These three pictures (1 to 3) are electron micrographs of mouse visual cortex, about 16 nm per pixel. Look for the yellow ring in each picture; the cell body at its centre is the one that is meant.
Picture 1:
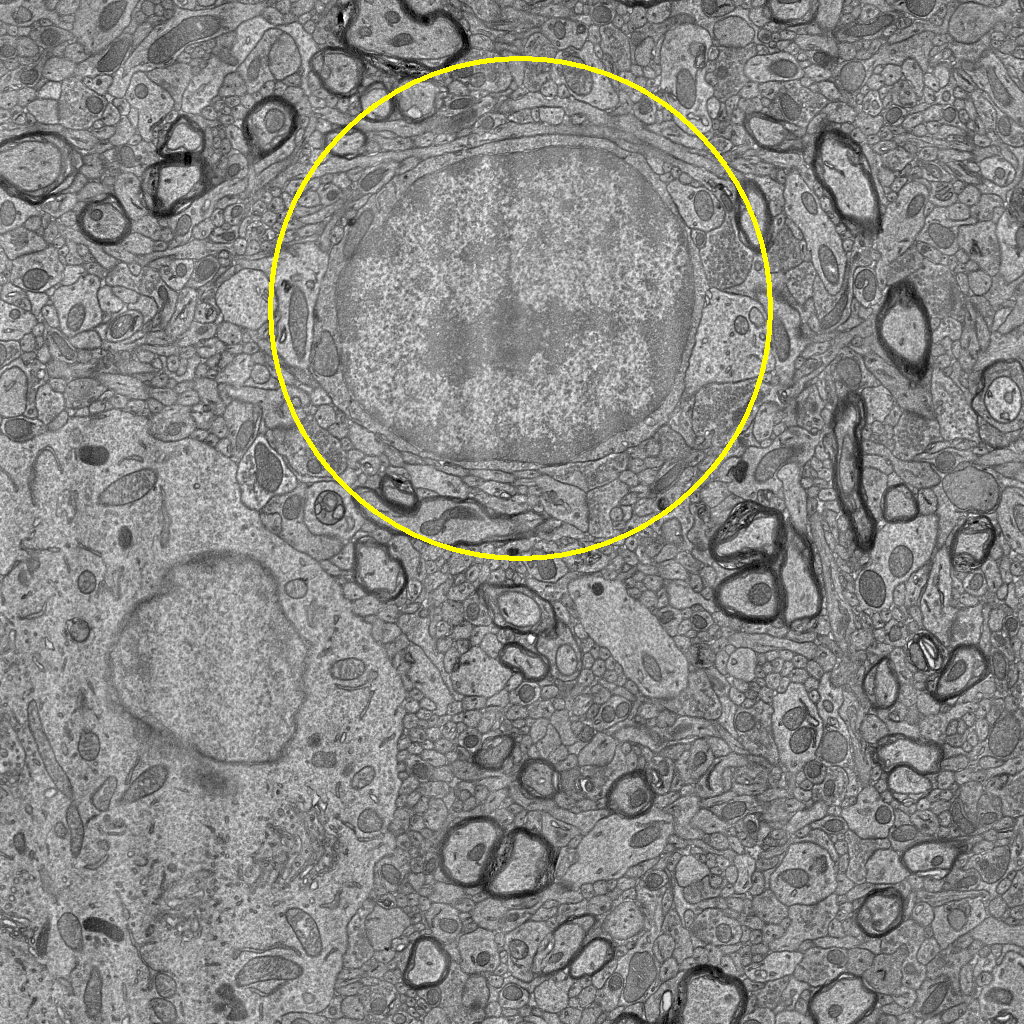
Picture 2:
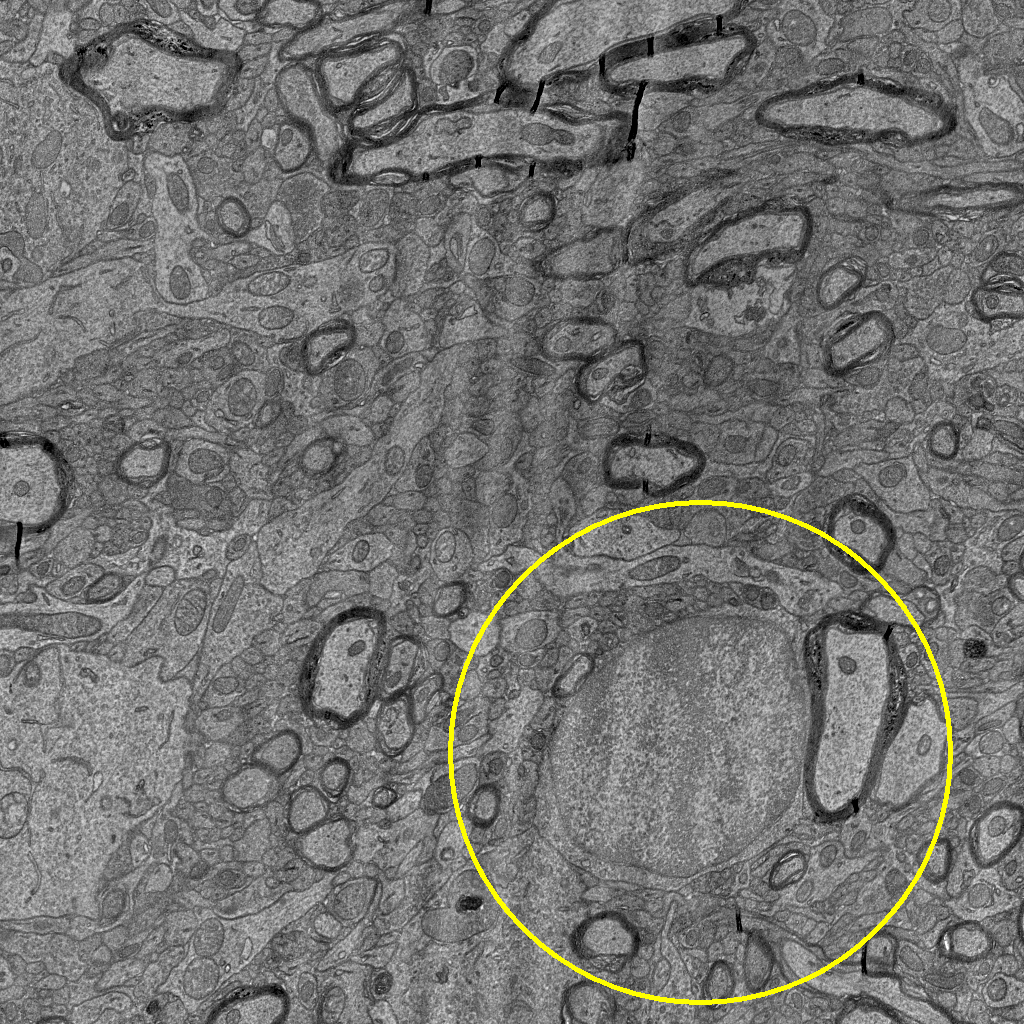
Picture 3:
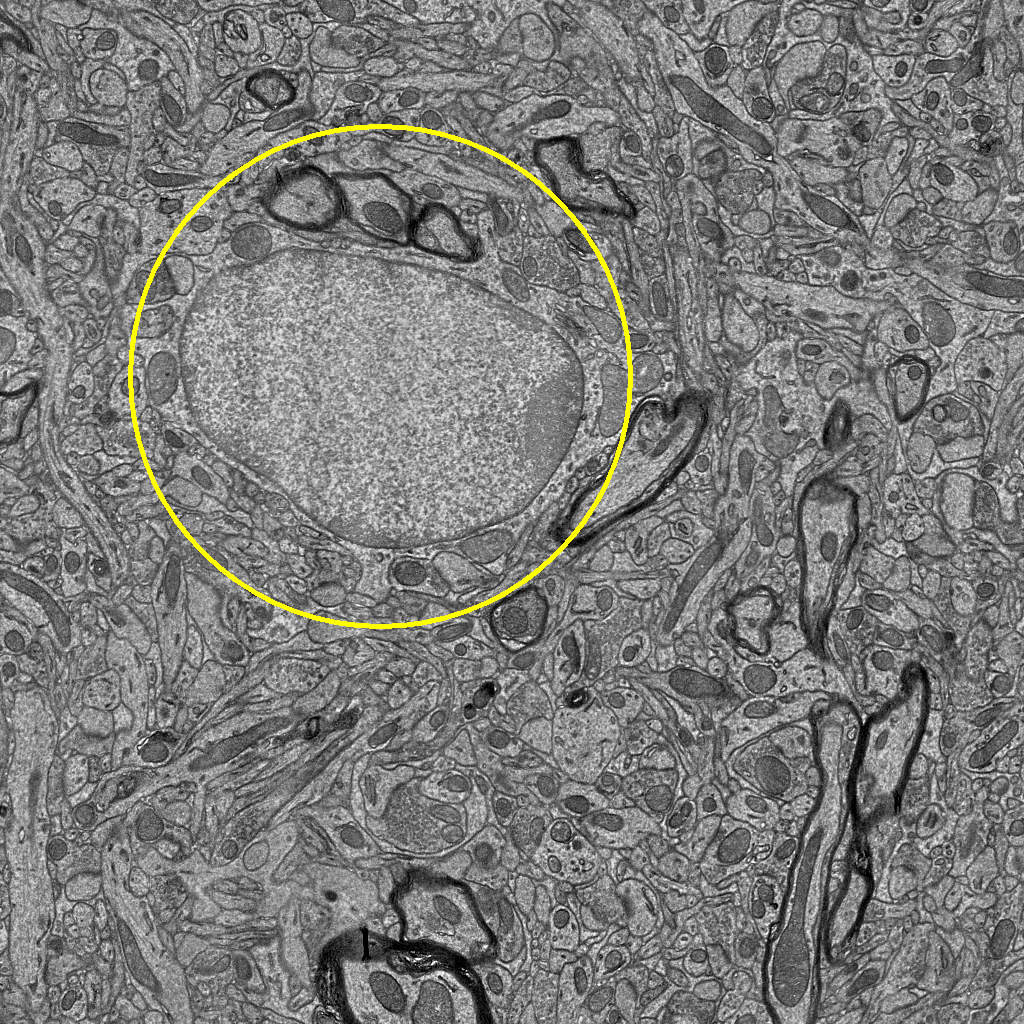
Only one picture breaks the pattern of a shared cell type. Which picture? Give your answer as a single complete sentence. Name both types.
Picture 3 is the odd one out: it shows an astrocyte, while the others show oligodendrocytes.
